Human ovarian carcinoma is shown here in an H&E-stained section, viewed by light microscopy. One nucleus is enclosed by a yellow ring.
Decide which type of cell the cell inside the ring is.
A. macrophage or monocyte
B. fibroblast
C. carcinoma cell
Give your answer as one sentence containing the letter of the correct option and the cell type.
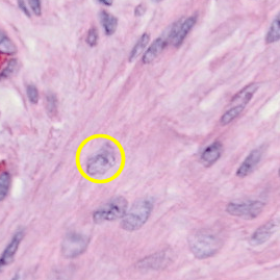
Answer with option B; the cell inside the ring is a fibroblast.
